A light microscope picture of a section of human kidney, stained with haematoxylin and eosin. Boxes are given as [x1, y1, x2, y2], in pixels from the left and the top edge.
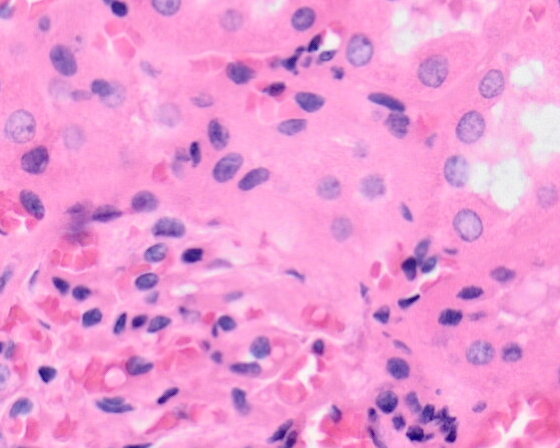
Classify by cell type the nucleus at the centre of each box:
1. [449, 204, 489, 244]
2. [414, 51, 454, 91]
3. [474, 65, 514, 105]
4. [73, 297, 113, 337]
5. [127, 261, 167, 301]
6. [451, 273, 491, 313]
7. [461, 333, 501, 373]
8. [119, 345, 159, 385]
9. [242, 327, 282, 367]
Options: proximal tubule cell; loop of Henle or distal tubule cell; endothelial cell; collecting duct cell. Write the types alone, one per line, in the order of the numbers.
proximal tubule cell
proximal tubule cell
proximal tubule cell
endothelial cell
endothelial cell
loop of Henle or distal tubule cell
loop of Henle or distal tubule cell
endothelial cell
endothelial cell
